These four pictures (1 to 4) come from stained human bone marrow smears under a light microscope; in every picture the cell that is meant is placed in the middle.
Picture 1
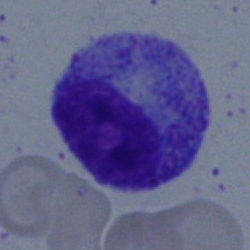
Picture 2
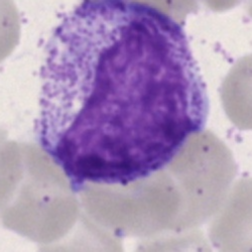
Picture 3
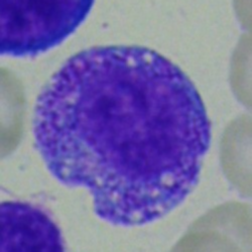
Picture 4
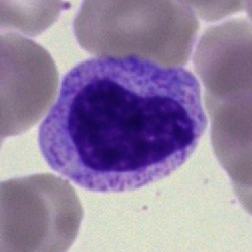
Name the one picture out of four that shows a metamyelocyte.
4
